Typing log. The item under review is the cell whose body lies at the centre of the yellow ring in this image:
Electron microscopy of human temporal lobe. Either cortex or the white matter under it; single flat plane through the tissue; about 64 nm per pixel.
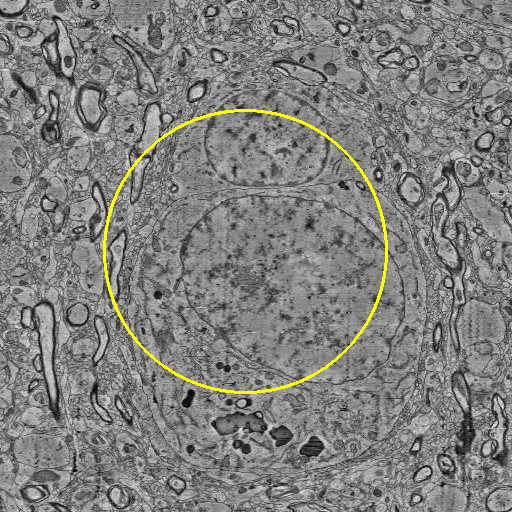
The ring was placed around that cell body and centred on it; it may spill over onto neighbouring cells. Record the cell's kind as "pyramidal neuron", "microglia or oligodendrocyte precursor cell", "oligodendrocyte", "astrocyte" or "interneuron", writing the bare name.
interneuron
